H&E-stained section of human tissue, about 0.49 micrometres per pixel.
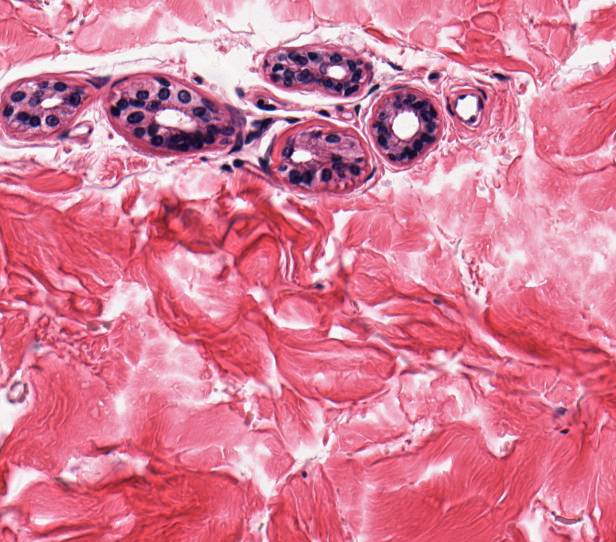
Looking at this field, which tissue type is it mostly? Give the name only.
dermis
